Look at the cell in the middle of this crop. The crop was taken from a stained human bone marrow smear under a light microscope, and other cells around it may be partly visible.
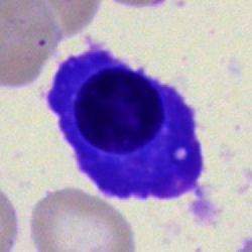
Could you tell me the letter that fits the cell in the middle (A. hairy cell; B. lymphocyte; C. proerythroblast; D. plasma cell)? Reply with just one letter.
D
